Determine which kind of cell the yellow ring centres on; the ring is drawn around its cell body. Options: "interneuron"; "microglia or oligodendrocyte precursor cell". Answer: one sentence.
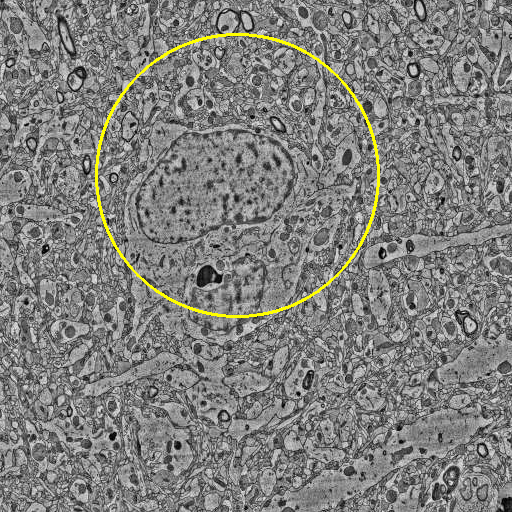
The ring centres on a microglial cell or oligodendrocyte precursor cell.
